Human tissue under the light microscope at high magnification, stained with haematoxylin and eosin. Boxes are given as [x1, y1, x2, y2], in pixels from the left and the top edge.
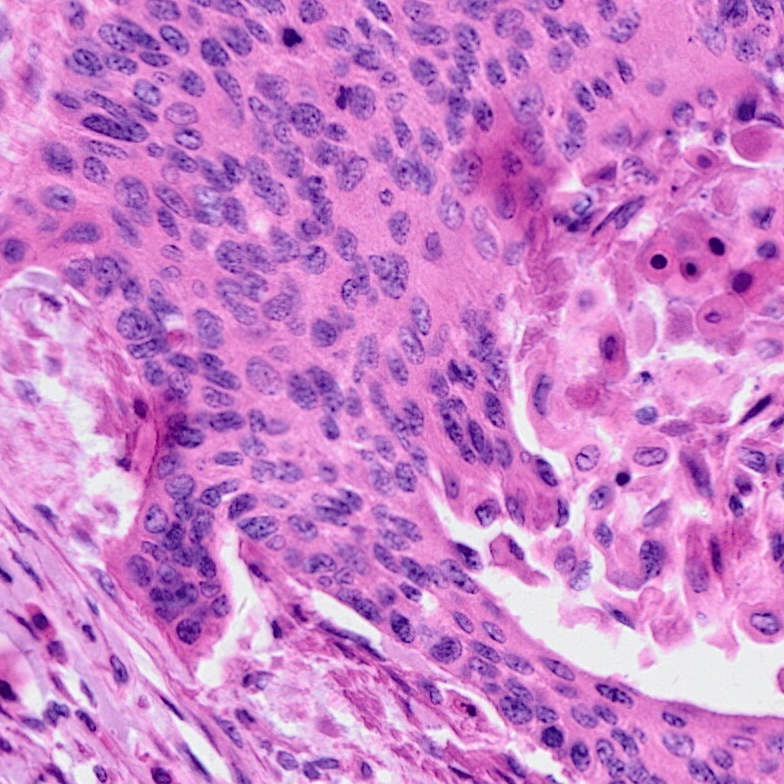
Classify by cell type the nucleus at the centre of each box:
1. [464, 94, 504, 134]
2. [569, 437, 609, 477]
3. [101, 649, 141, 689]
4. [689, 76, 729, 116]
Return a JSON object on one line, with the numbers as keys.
{"1": "squamous carcinoma cell", "2": "squamous carcinoma cell", "3": "macrophage or monocyte", "4": "squamous carcinoma cell"}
